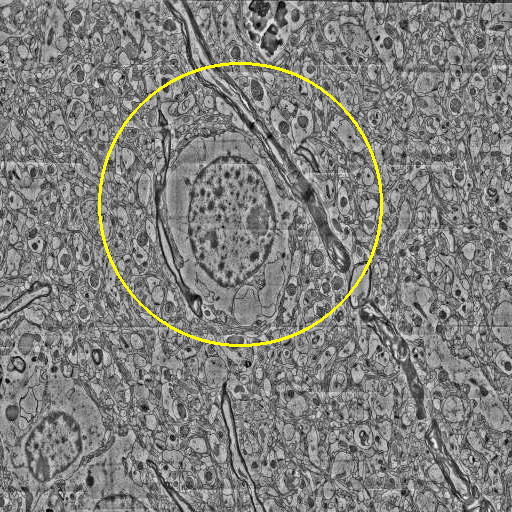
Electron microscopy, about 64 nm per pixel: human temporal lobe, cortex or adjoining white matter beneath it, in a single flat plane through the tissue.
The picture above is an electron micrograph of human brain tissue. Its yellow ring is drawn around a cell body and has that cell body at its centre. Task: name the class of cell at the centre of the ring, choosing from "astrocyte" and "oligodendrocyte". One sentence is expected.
The ring surrounds the body of an astrocyte.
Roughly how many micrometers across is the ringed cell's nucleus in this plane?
Roughly 8 by 6 micrometres in this plane, for the nucleus of the ringed cell.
